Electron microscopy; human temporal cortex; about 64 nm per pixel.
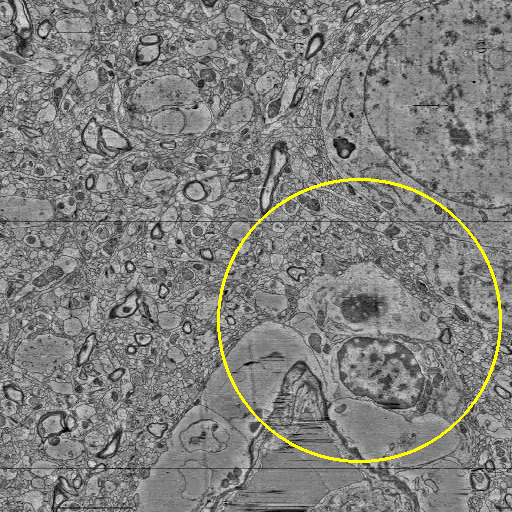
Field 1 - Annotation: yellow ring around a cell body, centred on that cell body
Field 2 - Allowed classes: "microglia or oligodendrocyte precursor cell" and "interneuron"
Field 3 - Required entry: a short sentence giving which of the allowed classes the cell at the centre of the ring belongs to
The centred cell is a microglial cell or oligodendrocyte precursor cell.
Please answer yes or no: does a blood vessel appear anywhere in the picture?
Yes, one shows.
